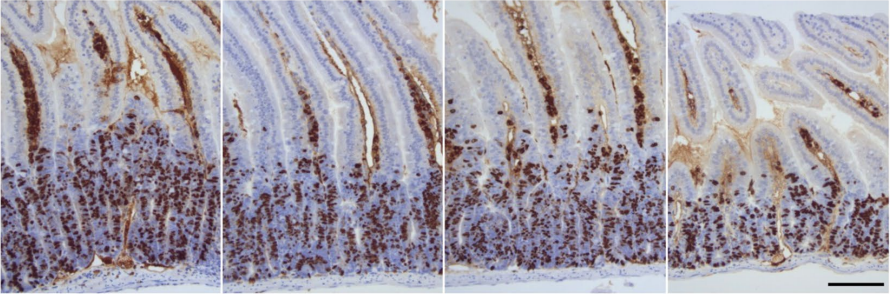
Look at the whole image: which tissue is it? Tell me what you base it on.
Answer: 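Finger-like villi project toward the lumen above a deeper glandular layer. Villi are lined by a single layer of tall columnar epithelium. The answer: small intestine.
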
